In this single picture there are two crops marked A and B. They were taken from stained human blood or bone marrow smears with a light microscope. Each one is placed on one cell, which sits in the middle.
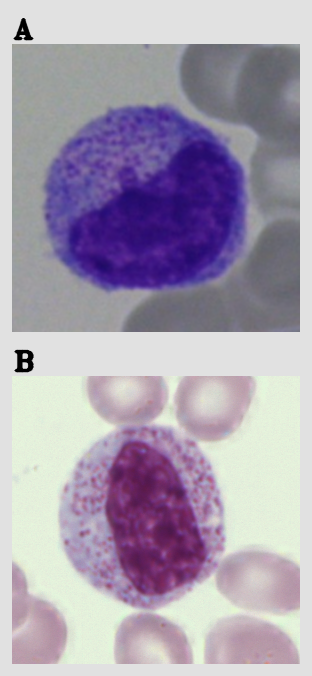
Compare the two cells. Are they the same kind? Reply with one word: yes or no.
yes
